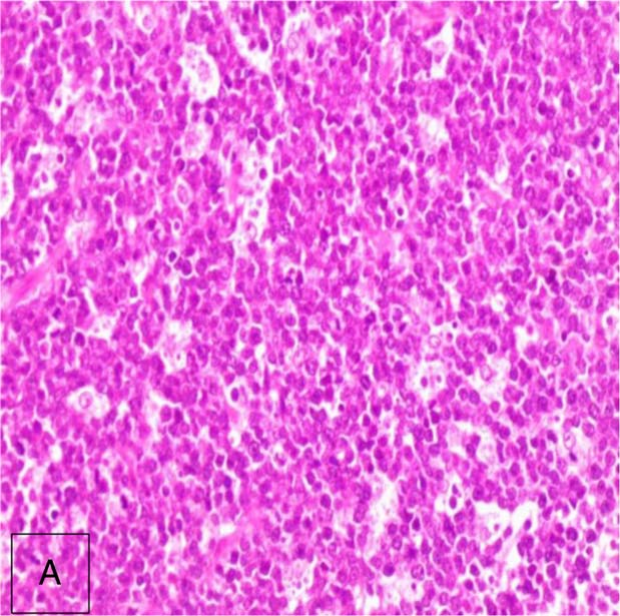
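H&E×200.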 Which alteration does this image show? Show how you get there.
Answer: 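A dense sheet of small, uniform cells with dark round nuclei fills the field. Scattered larger pale cells with clear cytoplasm stand out against the dark background.
Hence: starry sky appearance.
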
